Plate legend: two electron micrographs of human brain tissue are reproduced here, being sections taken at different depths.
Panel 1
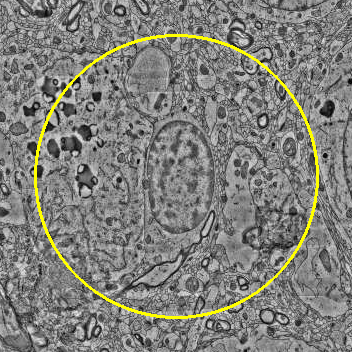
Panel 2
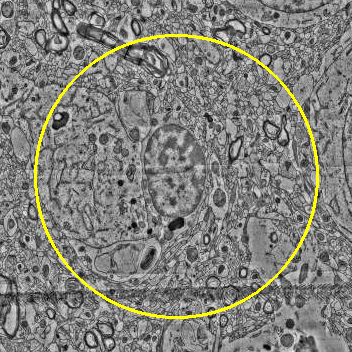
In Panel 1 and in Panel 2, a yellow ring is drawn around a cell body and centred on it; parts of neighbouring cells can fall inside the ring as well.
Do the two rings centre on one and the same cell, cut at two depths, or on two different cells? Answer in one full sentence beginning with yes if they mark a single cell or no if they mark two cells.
Yes, one cell appears twice, once in each ring.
